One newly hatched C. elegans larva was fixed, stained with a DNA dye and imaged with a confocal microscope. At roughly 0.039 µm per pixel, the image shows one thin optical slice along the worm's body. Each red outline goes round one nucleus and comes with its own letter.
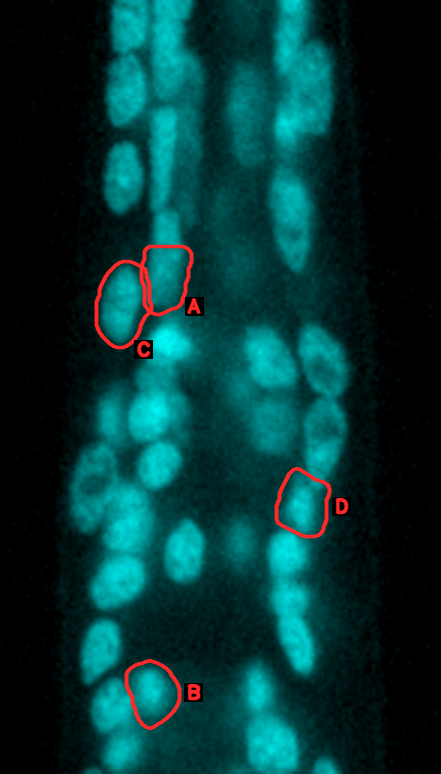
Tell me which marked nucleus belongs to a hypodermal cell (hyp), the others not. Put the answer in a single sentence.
The one from a hypodermal cell (hyp) is C.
